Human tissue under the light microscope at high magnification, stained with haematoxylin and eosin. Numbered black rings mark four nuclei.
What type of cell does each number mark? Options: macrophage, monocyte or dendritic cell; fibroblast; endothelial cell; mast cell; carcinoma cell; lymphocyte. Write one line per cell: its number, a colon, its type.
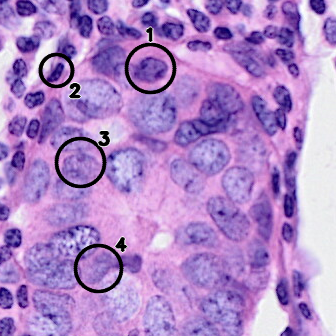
1: carcinoma cell
2: lymphocyte
3: carcinoma cell
4: carcinoma cell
